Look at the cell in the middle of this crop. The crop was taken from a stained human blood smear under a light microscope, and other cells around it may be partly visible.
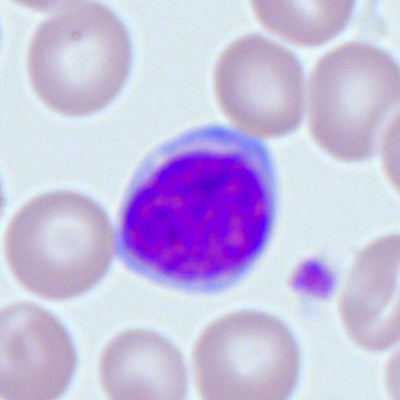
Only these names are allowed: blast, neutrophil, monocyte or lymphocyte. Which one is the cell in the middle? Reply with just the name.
lymphocyte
